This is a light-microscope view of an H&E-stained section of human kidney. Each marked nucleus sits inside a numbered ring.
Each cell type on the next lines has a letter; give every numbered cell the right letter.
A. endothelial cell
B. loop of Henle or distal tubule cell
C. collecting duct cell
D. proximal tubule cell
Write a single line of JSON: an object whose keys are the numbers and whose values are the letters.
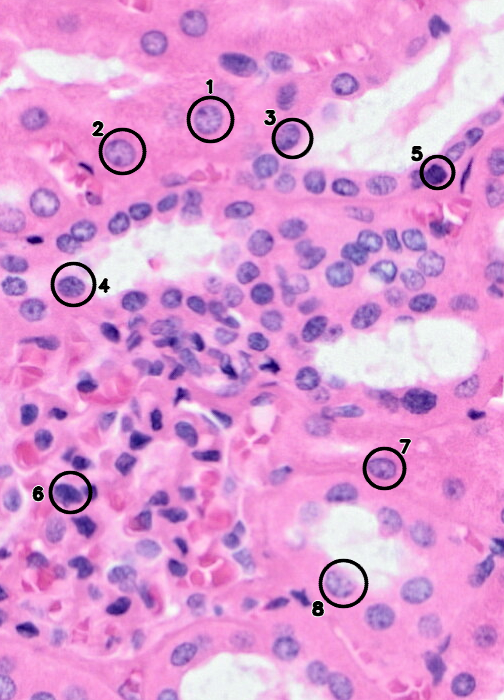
{"1": "D", "2": "D", "3": "C", "4": "B", "5": "C", "6": "A", "7": "D", "8": "B"}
